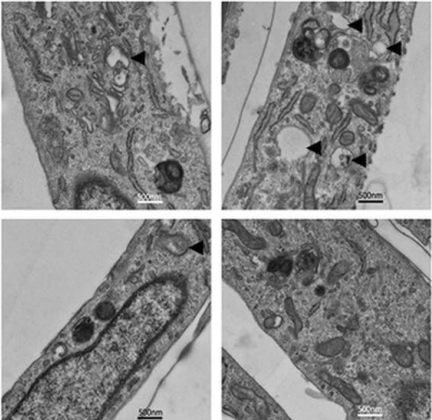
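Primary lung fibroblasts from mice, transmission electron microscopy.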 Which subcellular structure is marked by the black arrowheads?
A: Autophagosomes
